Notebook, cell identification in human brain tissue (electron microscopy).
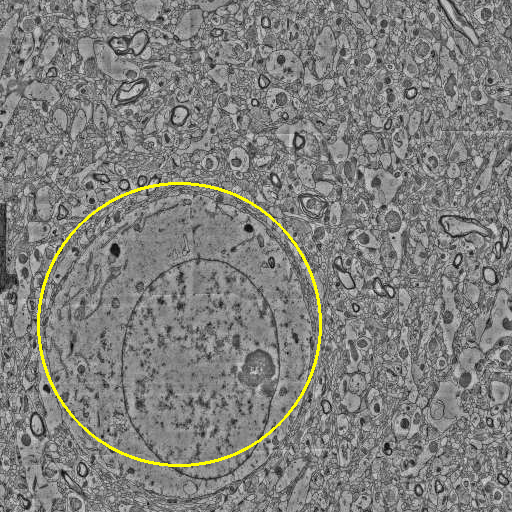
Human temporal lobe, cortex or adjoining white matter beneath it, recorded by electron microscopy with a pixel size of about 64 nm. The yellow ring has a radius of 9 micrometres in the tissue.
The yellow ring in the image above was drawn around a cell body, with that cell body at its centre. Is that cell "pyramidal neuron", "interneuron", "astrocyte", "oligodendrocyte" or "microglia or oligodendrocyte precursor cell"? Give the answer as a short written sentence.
The cell in the ring is a pyramidal neuron.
